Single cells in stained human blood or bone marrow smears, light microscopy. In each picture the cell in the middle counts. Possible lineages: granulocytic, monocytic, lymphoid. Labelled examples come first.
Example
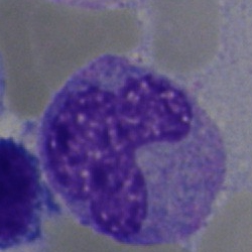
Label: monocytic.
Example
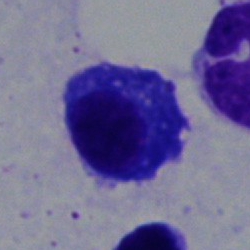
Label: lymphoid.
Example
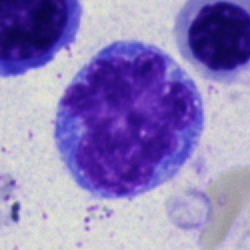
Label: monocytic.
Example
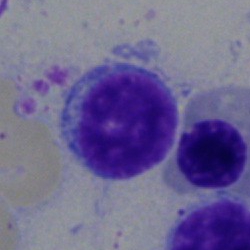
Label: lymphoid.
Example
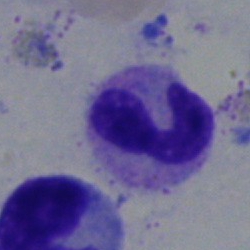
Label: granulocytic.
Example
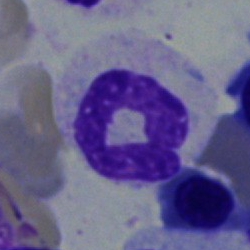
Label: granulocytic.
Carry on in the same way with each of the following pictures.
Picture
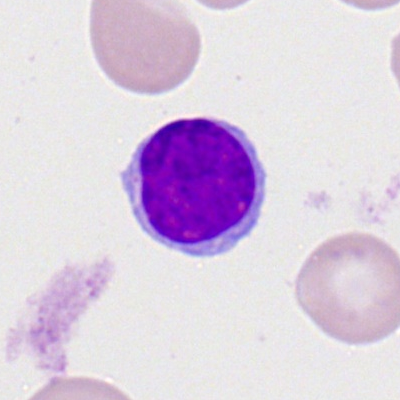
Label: lymphoid.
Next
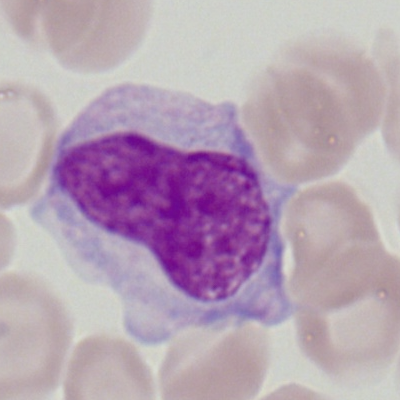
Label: monocytic.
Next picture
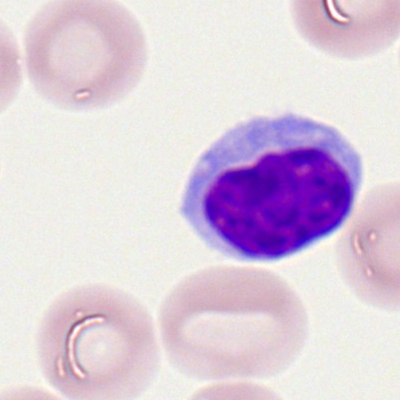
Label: lymphoid.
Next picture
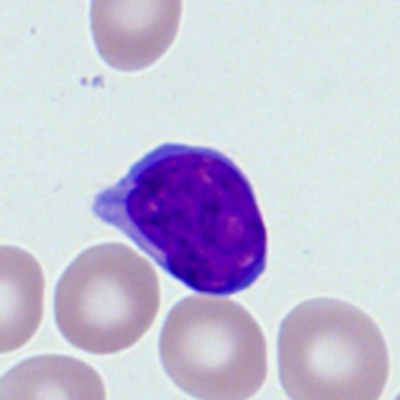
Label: lymphoid.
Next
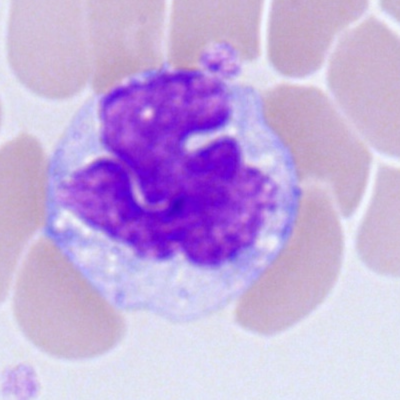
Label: monocytic.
